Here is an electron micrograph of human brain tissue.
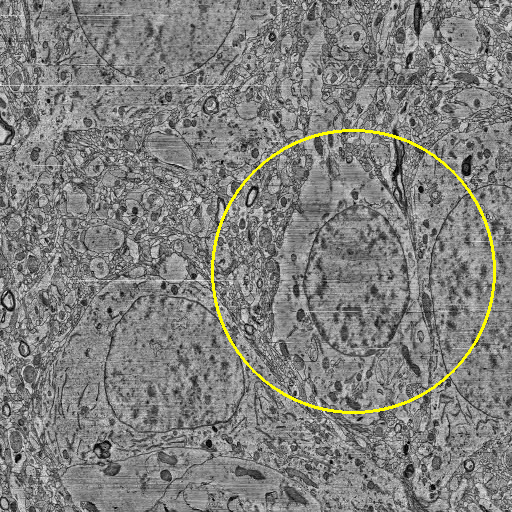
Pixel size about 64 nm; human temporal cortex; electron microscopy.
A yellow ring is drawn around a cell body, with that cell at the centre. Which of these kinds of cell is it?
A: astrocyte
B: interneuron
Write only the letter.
A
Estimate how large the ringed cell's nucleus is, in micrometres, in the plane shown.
The nucleus comes to roughly 10 by 7 micrometres in this plane.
